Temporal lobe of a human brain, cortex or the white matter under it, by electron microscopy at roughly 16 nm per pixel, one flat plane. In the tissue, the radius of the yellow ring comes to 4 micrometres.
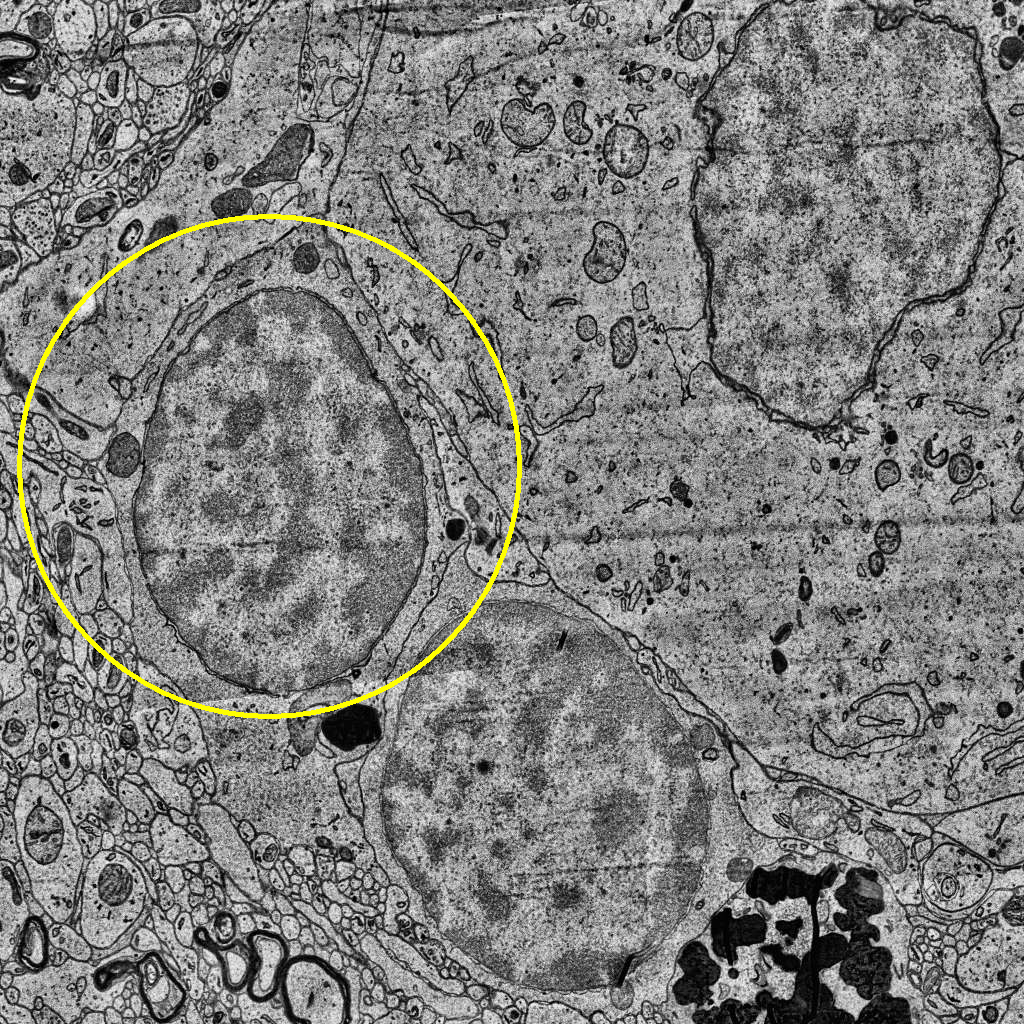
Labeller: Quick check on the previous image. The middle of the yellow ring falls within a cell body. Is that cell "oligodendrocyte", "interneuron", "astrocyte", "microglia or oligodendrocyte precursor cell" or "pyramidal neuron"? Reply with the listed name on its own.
oligodendrocyte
